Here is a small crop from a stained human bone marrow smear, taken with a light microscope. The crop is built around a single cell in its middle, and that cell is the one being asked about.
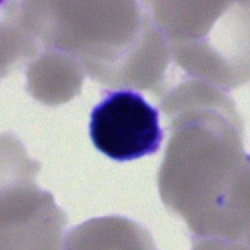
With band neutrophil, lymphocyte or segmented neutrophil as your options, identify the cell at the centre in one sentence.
The centrally placed cell is classified as a lymphocyte.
